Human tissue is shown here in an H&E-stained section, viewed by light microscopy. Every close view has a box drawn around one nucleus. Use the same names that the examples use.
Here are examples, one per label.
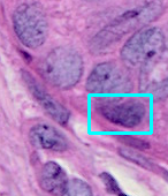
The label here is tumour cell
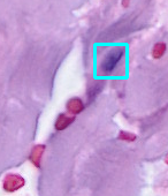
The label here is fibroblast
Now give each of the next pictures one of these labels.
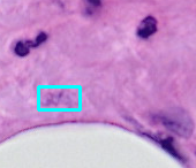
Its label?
fibroblast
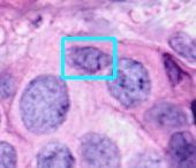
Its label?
tumour cell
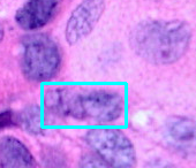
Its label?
tumour cell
